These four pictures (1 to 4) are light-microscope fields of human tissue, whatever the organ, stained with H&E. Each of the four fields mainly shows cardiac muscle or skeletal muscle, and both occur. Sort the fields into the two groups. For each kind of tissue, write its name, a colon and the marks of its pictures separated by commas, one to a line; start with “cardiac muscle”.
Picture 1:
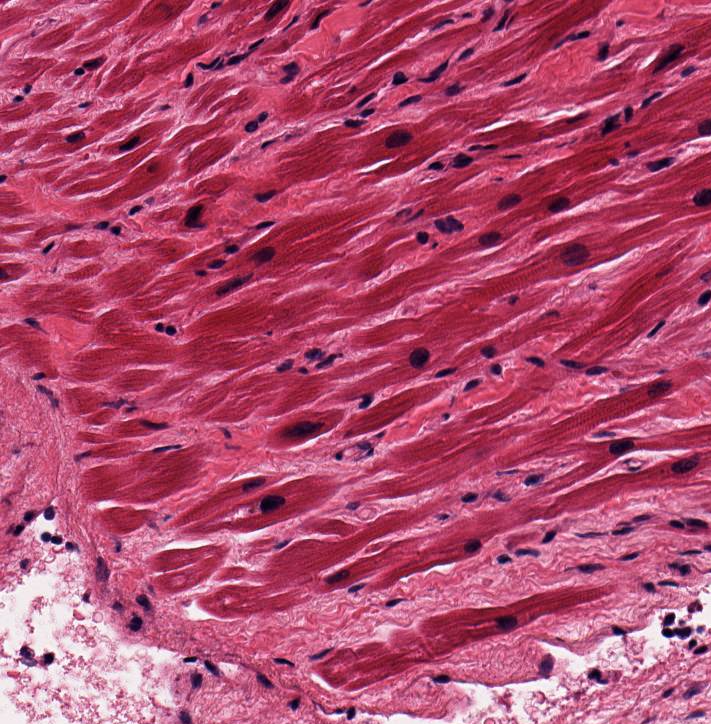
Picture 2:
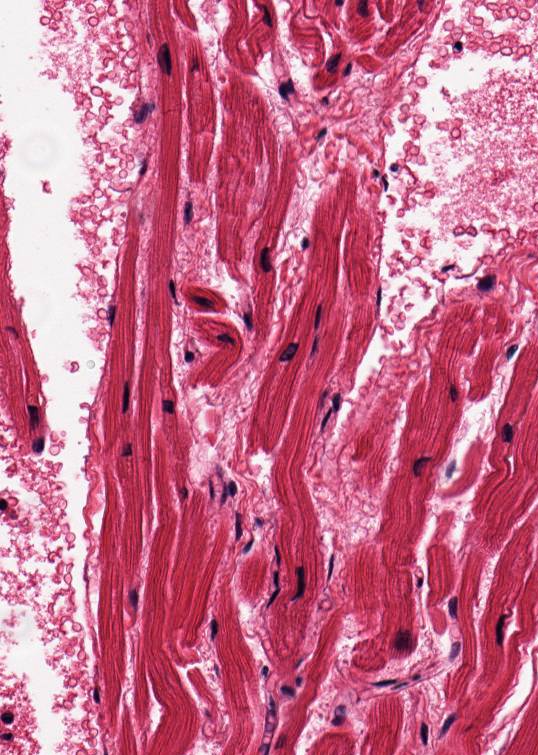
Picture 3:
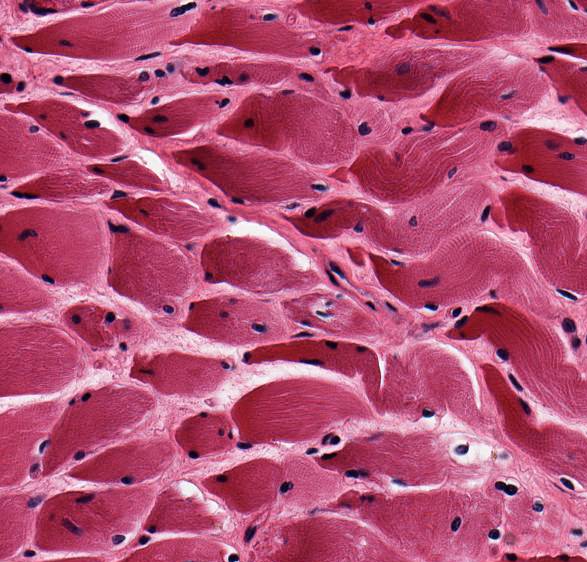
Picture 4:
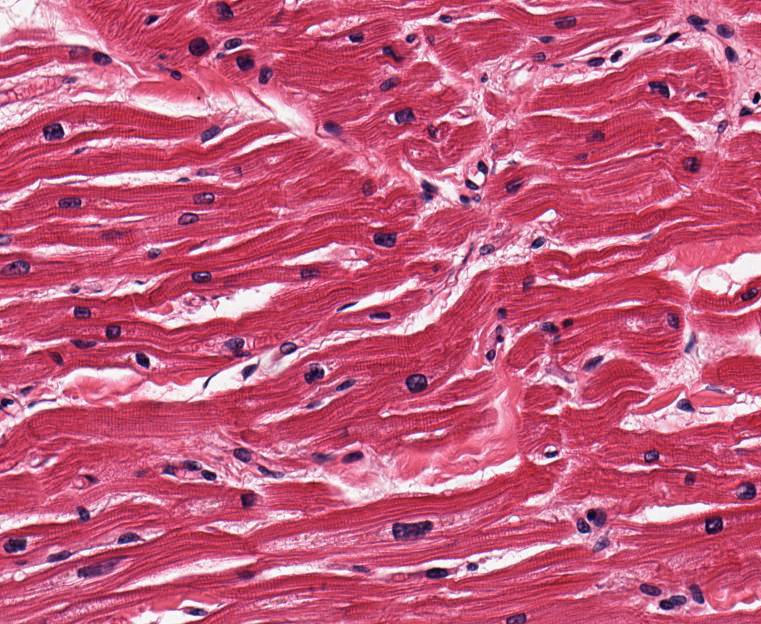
cardiac muscle: 1, 2, 4
skeletal muscle: 3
